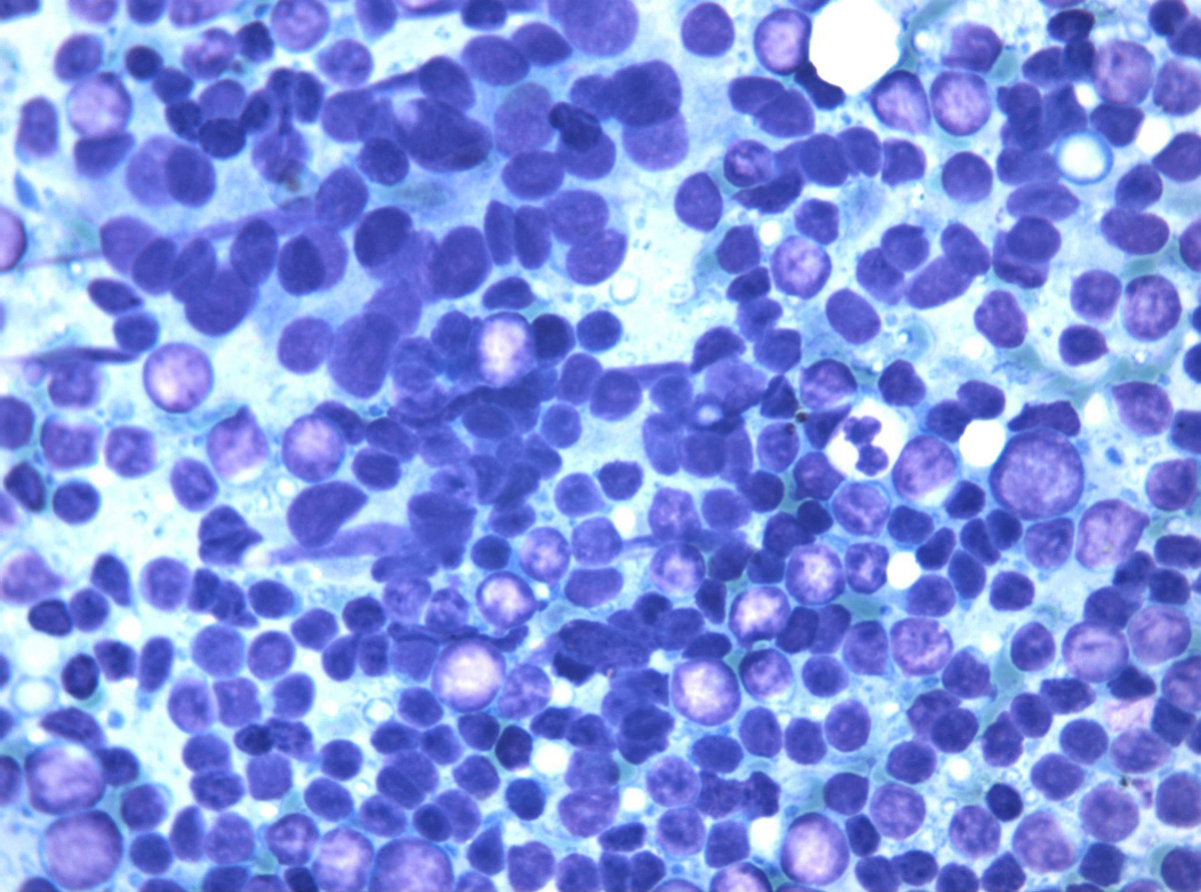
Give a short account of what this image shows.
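This cellular smear is made up almost entirely of a dense population of atypical lymphoid cells lying singly and in loose crowds, without cohesive epithelial groups. The cells are round, and their round purple nuclei fill most of the cell, leaving only a scant rim of pale blue cytoplasm. Many cells are small with dark, dense chromatin, while others are larger, with paler, finely granular chromatin. A few elongated, smeared purple streaks of crushed nuclear material cross the field against a pale blue background.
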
